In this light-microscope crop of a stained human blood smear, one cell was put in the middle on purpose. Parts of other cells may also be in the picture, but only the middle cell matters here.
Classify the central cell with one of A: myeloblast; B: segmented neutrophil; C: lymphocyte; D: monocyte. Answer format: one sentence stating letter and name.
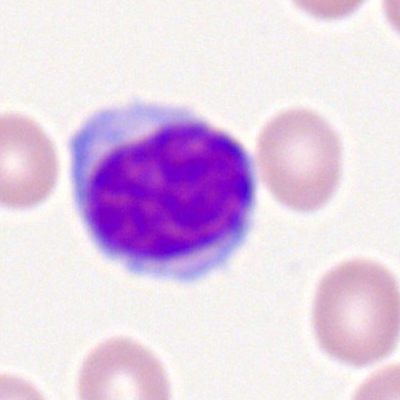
The cell at the centre, correctly named in option C, is a lymphocyte.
